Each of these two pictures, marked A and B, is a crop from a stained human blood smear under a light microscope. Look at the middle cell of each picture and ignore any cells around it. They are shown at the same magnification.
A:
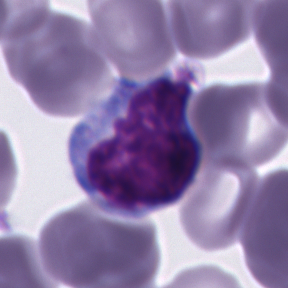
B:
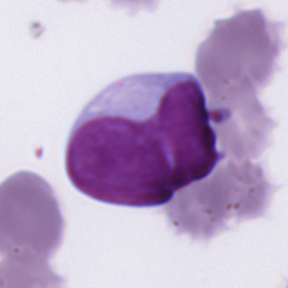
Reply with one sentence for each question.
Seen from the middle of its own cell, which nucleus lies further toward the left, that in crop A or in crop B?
It is the nucleus in crop B that lies further toward the left of its cell.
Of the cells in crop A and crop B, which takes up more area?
Larger is the cell in crop B, at roughly 2 times the area of the other.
